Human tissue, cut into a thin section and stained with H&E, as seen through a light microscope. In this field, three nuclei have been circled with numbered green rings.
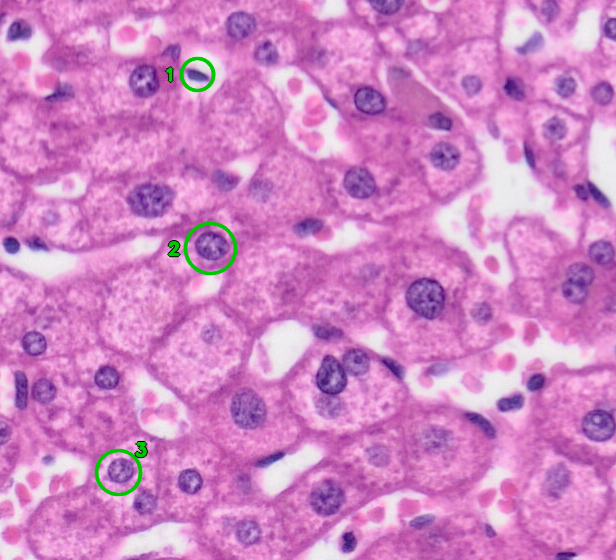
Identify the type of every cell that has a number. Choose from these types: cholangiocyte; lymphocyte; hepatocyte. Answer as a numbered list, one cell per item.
1. lymphocyte
2. hepatocyte
3. hepatocyte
